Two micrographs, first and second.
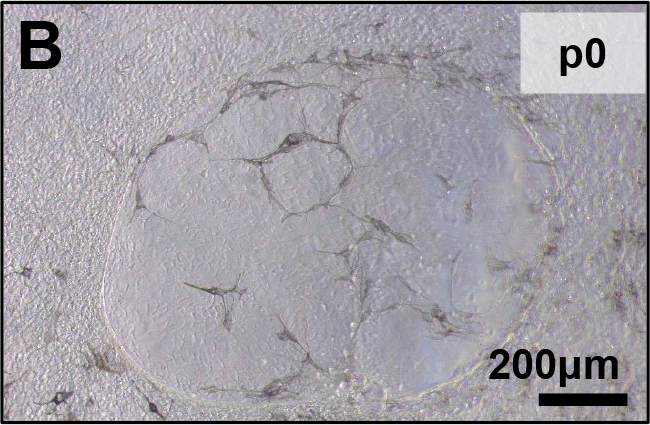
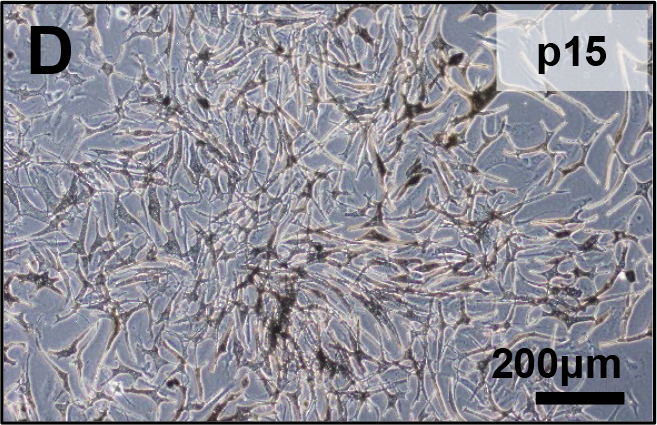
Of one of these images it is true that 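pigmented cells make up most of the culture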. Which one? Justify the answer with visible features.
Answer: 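Second image: dark branched and spindle cells fill most of the field. First image: only a scattering of dark branched cells lies over a large pale colony.
Answer: the second image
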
